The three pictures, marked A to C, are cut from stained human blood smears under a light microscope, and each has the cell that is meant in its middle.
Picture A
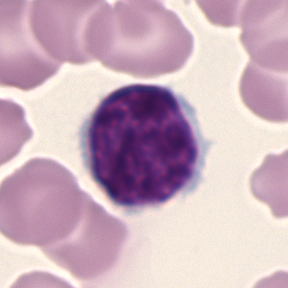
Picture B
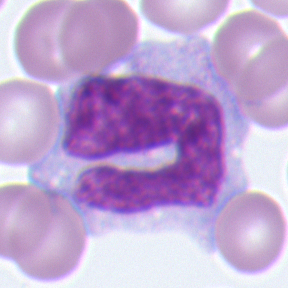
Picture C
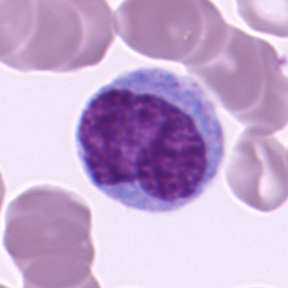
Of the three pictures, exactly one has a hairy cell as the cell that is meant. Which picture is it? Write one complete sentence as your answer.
The hairy cell is the one in picture A.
